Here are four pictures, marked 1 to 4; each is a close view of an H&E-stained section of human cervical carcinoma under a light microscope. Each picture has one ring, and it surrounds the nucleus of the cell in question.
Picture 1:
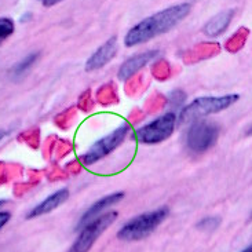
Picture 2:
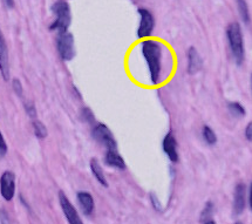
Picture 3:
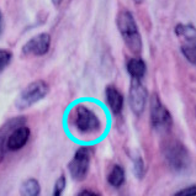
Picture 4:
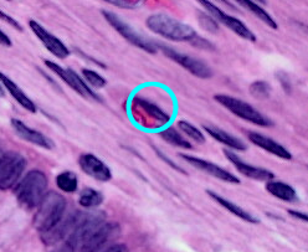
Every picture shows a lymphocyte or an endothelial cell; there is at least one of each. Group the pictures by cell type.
1: endothelial cell
2: endothelial cell
3: lymphocyte
4: endothelial cell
